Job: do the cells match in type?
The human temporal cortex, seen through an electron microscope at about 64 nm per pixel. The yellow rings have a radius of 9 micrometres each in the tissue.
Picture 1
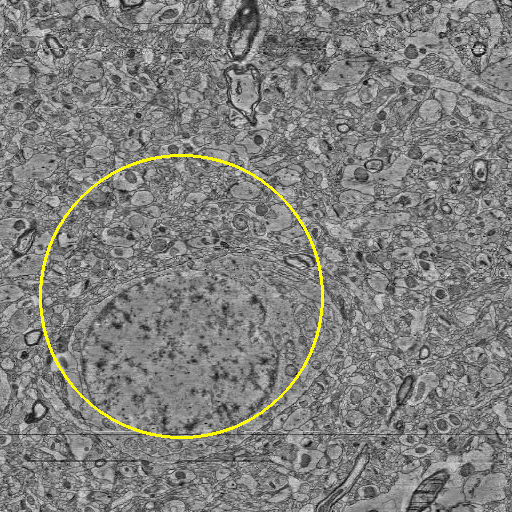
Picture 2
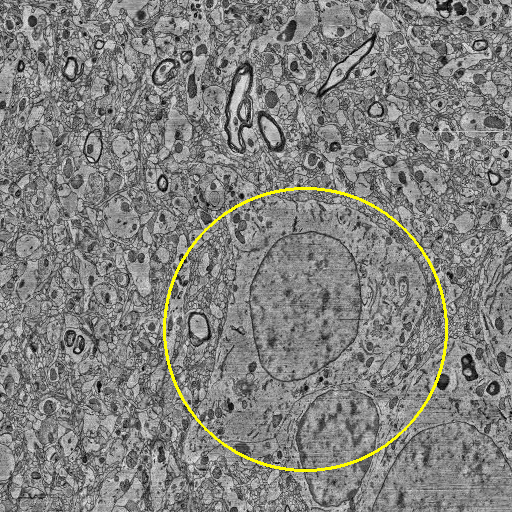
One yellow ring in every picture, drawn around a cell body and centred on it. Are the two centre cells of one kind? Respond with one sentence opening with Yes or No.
No, the ringed cells in the two pictures are of two separate kinds.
